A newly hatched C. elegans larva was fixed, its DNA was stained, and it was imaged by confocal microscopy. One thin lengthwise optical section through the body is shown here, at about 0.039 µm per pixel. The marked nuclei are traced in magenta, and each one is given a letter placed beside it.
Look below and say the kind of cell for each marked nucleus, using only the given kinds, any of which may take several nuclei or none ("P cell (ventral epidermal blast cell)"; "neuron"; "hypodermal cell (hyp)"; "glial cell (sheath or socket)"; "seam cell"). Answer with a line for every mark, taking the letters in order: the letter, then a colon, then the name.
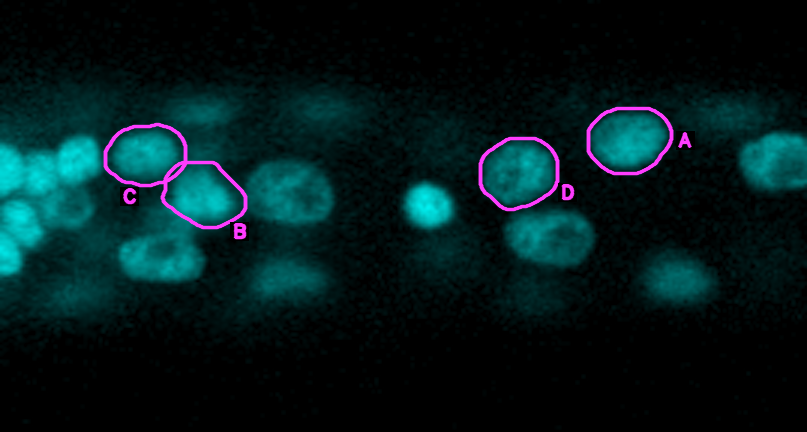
A: P cell (ventral epidermal blast cell)
B: glial cell (sheath or socket)
C: neuron
D: seam cell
